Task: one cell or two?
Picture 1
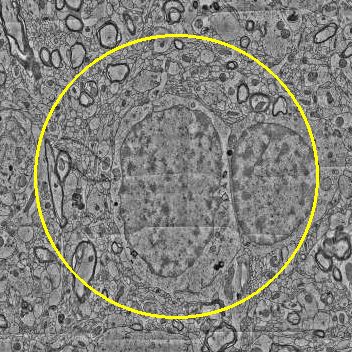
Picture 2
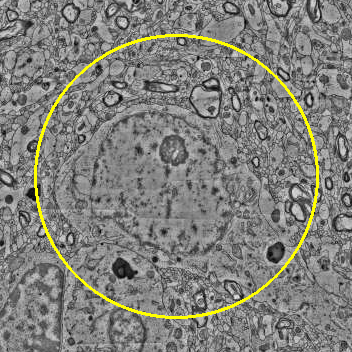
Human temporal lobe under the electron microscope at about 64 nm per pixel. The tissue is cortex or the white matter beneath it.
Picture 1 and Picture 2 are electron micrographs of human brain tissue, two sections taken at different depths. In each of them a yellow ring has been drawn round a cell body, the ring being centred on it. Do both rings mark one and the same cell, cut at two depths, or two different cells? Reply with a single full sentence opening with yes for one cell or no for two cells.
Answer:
No, the two rings were placed on two different cells.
